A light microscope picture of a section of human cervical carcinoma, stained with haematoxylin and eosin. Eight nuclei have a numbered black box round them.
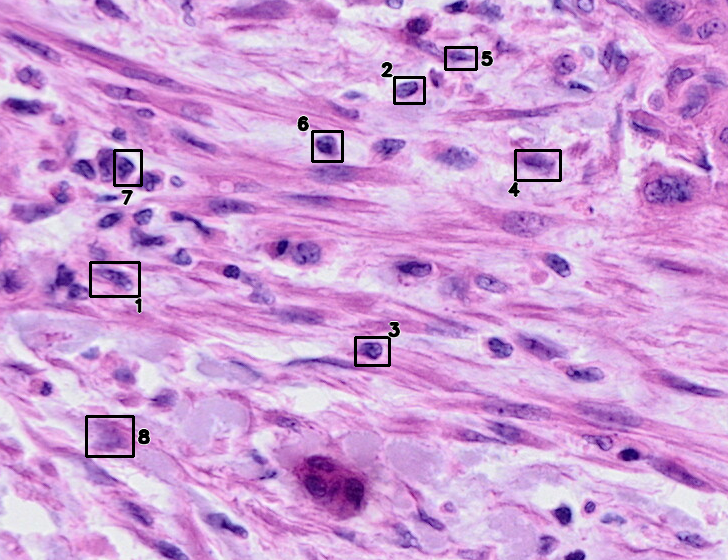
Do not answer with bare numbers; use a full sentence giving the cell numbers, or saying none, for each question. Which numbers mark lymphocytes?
So, the cells with numbers 2, 3, 6 and 7 are lymphocytes.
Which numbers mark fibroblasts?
The identity of cells 4, 5 and 8: they are fibroblasts.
